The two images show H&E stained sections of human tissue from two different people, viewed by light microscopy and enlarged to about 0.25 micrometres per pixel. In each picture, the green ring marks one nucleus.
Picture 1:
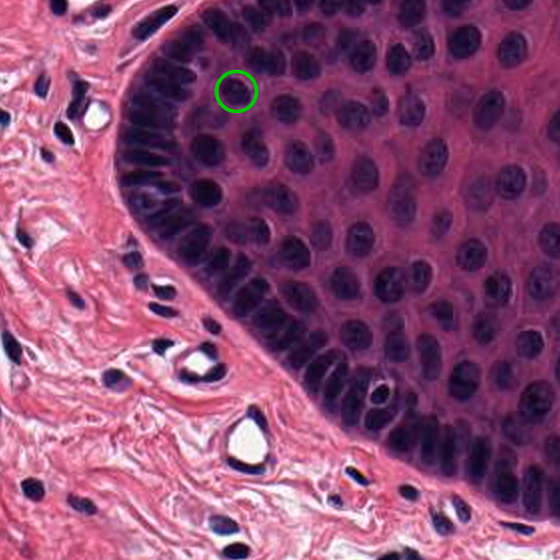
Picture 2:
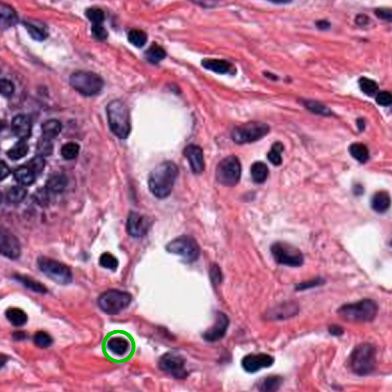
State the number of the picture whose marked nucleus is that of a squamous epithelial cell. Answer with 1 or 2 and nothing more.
1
